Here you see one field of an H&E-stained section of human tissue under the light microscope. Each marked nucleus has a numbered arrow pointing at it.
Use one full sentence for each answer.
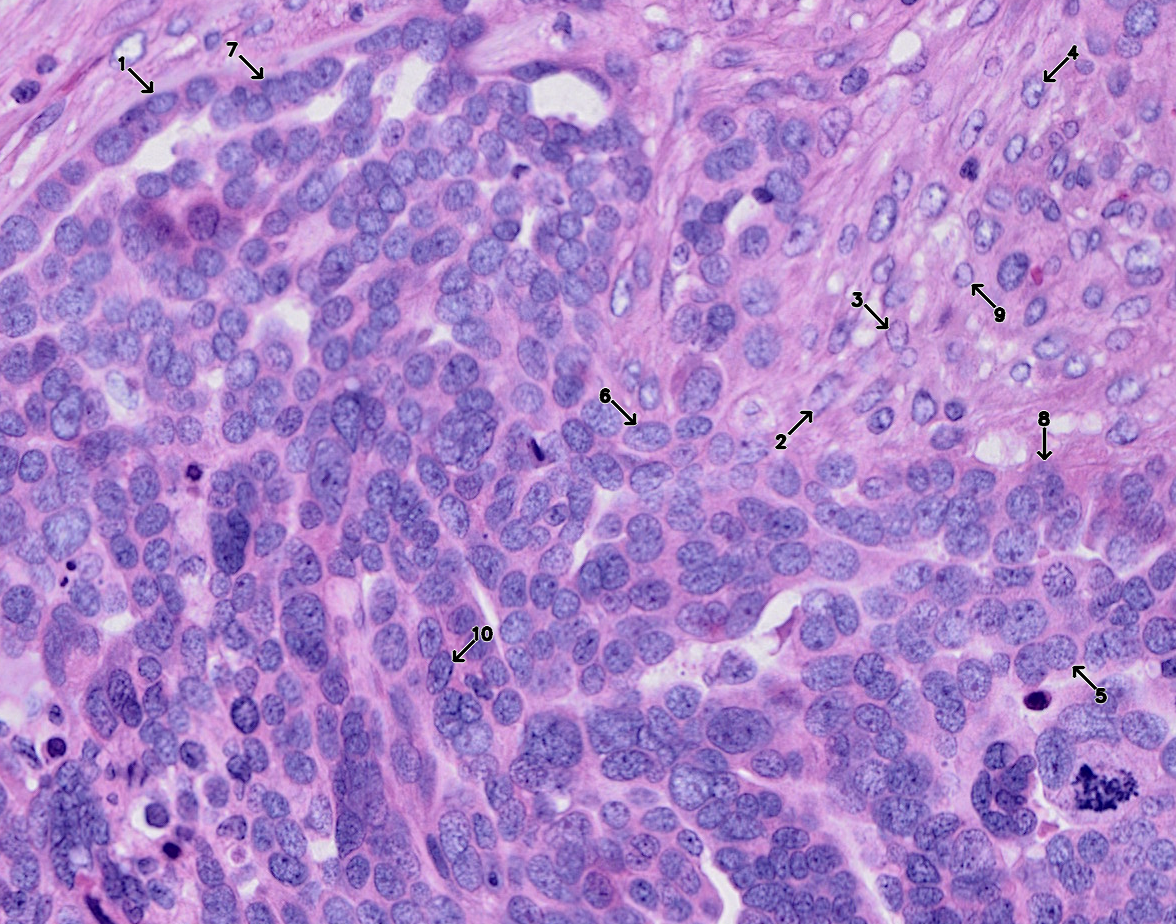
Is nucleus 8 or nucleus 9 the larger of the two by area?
Nucleus 8 covers more area, about 2.5 times as much as nucleus 9.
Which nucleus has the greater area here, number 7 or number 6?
It is nucleus 6, which covers about 2 times the area of nucleus 7.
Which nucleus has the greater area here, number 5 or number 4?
Of the two, number 5 is bigger and takes up about 1.5 times the area of number 4.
